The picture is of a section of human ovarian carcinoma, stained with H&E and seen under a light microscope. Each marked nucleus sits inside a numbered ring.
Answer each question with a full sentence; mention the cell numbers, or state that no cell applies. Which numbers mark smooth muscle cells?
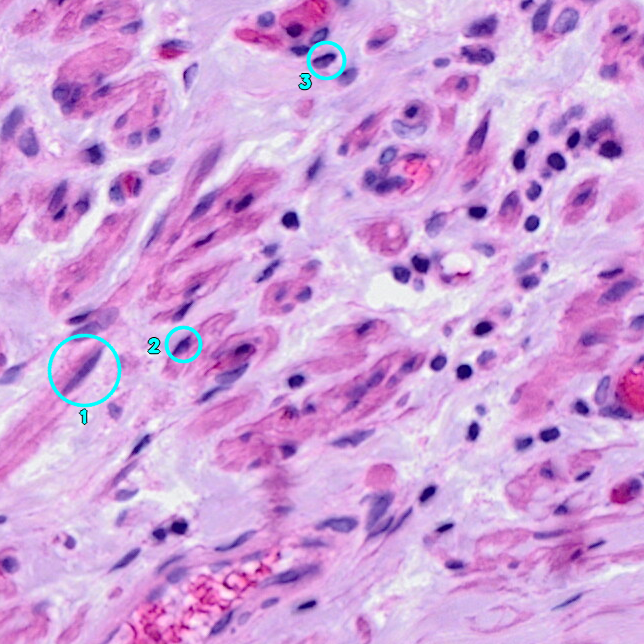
The cells that have been numbered 1 and 2 are smooth muscle cells.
